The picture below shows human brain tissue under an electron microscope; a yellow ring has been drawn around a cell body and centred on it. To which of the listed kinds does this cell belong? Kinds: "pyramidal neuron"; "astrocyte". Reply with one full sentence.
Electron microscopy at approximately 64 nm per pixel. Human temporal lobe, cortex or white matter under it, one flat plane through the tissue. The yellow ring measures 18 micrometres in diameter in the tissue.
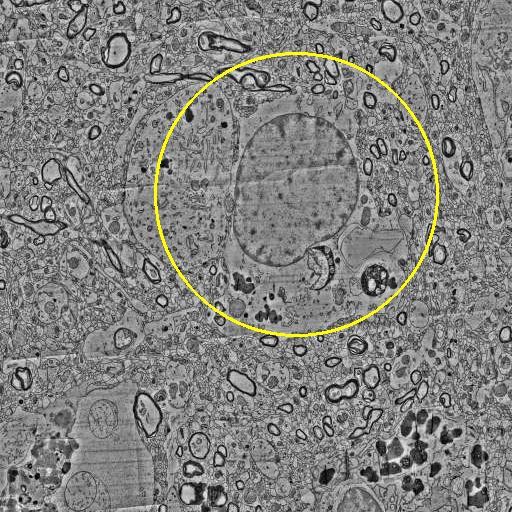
It is an astrocyte that the yellow ring in the picture is centred on.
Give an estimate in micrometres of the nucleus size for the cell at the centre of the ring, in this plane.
About 10 micrometres by about 8 micrometres in this plane.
